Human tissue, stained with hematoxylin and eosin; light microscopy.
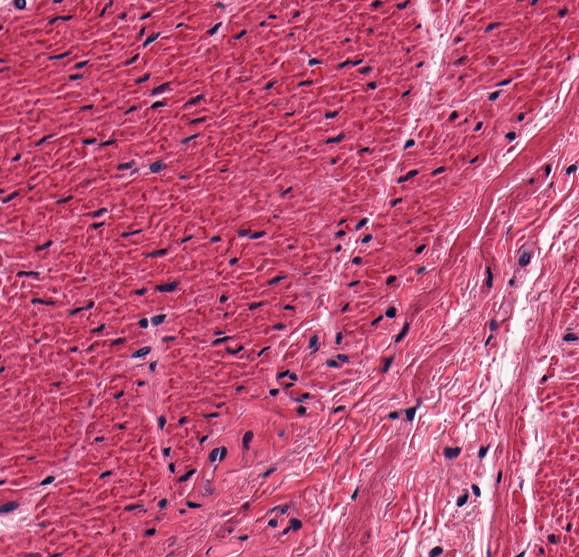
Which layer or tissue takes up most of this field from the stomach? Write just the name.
smooth muscle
